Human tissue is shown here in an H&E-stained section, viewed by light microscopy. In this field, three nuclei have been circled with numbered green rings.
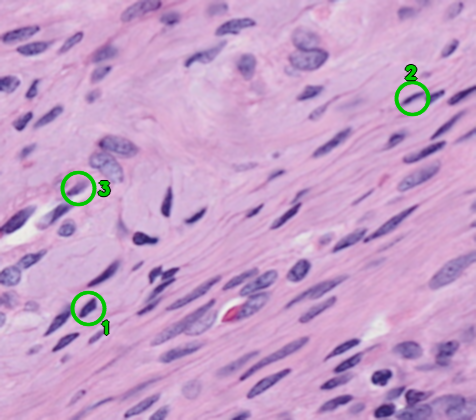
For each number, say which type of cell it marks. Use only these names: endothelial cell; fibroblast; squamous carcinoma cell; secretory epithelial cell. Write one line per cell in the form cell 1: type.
cell 1: fibroblast
cell 2: fibroblast
cell 3: endothelial cell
